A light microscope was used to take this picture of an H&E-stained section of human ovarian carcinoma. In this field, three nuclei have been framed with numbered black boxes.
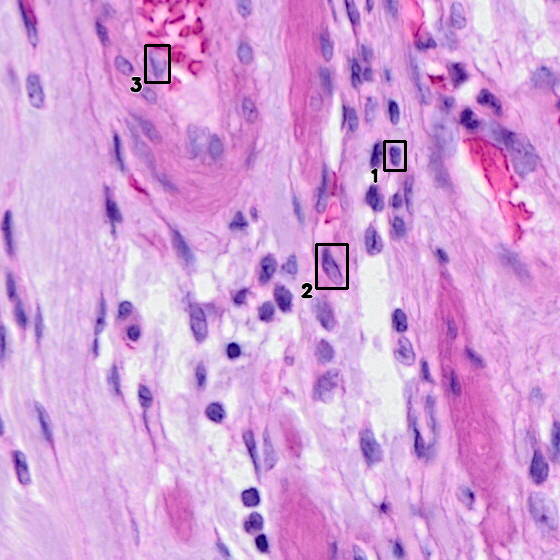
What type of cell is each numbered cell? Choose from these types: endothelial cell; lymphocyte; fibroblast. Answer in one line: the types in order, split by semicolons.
lymphocyte; endothelial cell; endothelial cell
